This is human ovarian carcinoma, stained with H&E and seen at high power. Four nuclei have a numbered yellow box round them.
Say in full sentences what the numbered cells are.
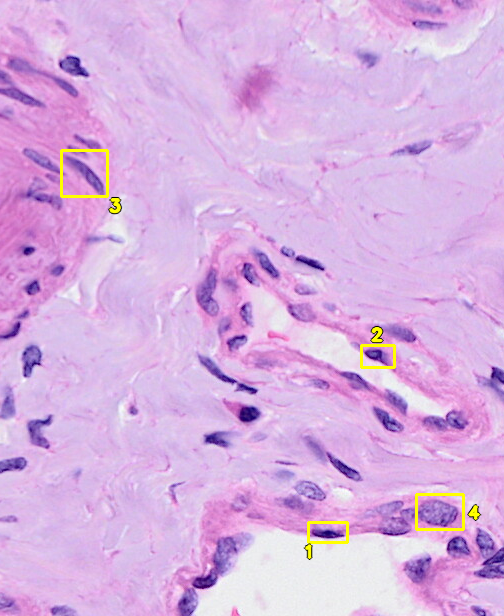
Cell 1 is an endothelial cell, cell 2 is an endothelial cell, cell 3 is a smooth muscle cell and cell 4 is an endothelial cell.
